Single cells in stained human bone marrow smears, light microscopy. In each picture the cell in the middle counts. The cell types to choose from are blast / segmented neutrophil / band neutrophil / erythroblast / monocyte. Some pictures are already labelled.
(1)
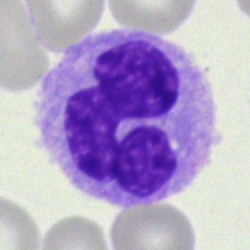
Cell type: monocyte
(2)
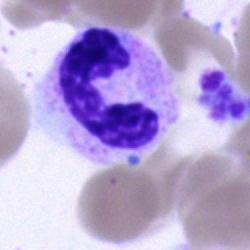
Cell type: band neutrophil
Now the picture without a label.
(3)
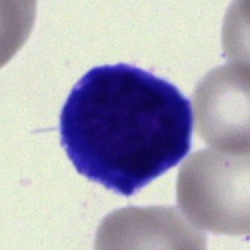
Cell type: erythroblast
